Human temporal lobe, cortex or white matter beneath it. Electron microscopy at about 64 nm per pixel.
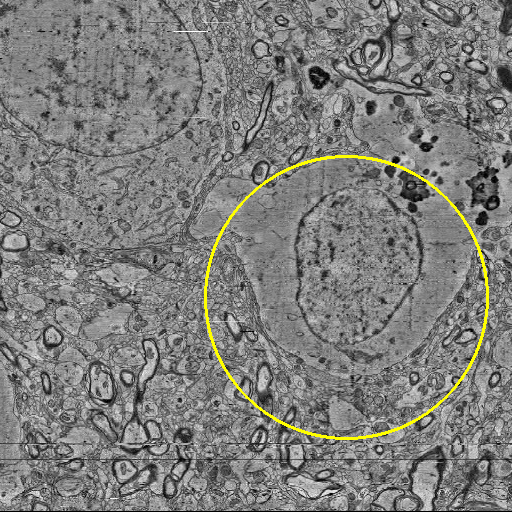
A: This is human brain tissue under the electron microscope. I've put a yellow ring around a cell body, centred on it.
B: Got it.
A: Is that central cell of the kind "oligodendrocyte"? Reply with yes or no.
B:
no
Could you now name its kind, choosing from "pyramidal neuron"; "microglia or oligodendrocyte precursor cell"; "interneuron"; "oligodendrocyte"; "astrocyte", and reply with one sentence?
The cell ringed in the picture is an astrocyte.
